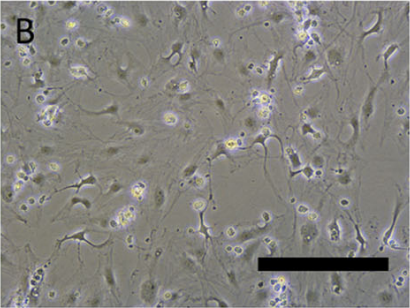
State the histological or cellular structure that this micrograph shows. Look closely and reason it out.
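Many cells have small bodies with several thin, dark processes. Processes branch and run between cells across the field.
Answer: thin protrusions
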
